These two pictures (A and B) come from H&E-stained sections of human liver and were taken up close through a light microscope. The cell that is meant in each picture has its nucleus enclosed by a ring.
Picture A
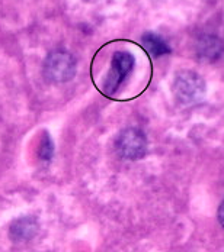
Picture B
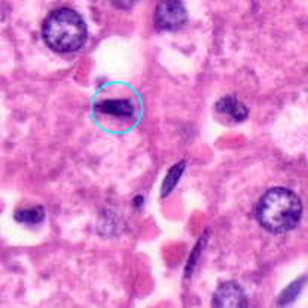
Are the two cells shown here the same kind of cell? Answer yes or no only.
no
